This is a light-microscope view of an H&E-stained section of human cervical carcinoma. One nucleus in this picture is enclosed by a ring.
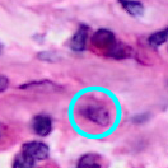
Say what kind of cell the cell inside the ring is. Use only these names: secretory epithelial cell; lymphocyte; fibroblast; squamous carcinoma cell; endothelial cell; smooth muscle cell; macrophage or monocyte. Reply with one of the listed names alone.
macrophage or monocyte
